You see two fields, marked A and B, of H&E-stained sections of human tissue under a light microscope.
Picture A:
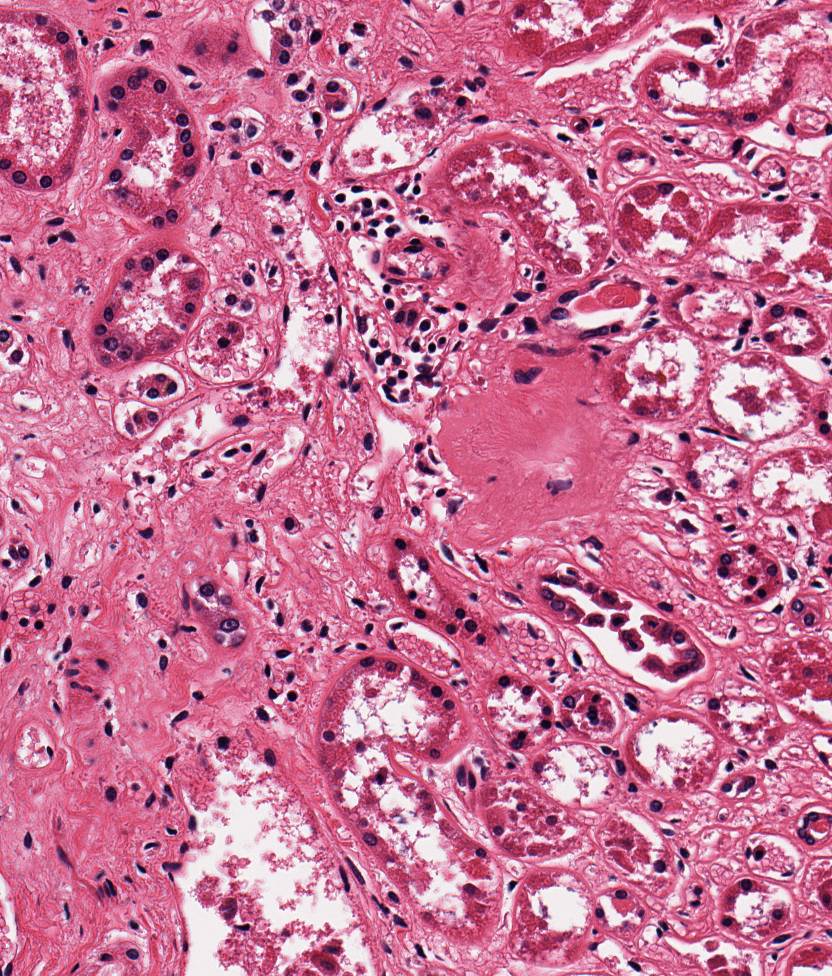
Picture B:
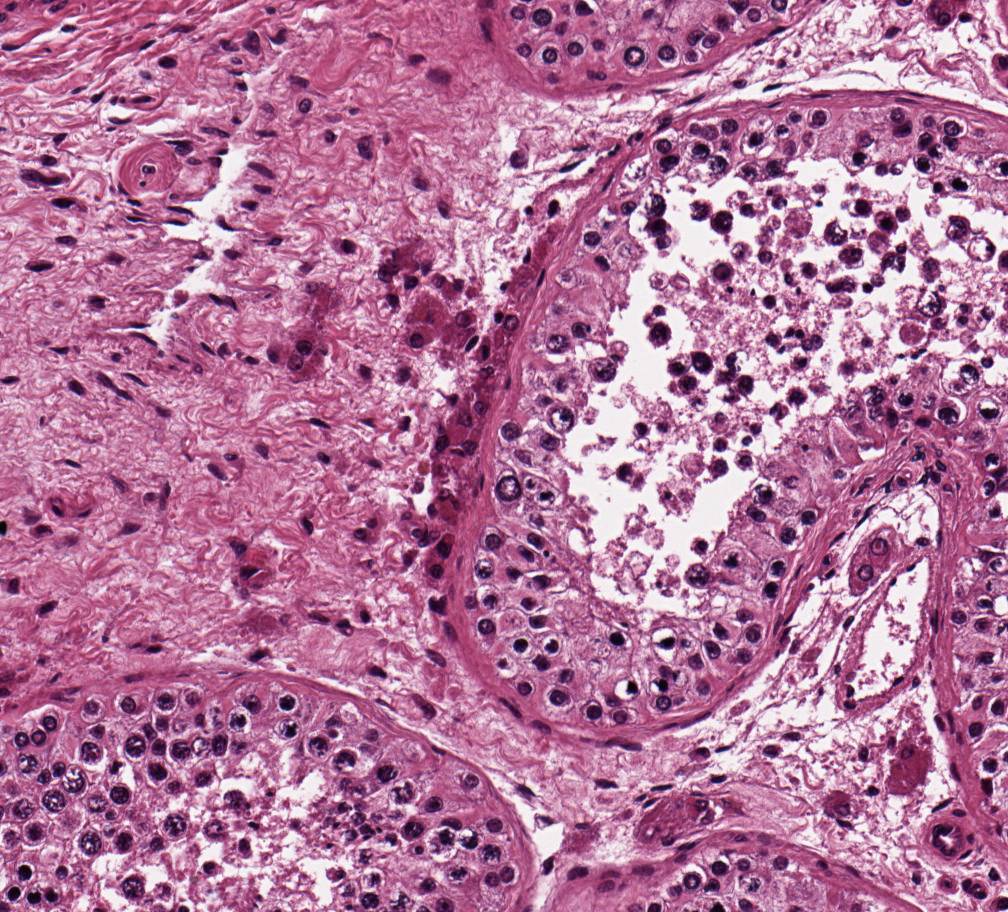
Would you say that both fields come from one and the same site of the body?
no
